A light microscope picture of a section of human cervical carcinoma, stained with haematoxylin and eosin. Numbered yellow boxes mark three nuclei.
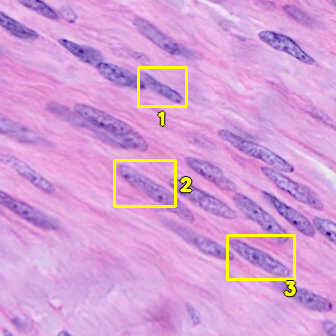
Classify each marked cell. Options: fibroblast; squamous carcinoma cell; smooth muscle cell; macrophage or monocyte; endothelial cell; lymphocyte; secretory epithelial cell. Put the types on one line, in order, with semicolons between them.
fibroblast; smooth muscle cell; smooth muscle cell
